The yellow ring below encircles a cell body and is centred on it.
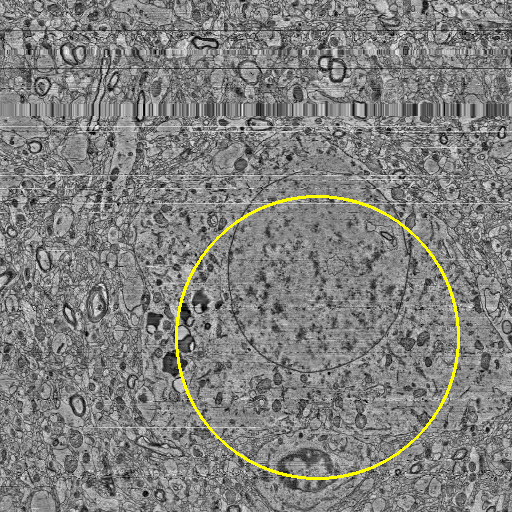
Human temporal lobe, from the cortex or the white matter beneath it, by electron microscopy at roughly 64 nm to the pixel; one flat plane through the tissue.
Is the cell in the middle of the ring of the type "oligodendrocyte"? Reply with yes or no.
no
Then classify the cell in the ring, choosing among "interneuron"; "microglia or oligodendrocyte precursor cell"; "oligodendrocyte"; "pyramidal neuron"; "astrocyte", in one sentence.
The answer is that the ringed cell is a pyramidal neuron.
